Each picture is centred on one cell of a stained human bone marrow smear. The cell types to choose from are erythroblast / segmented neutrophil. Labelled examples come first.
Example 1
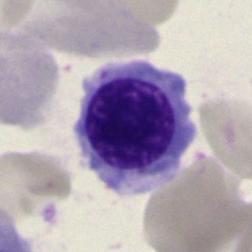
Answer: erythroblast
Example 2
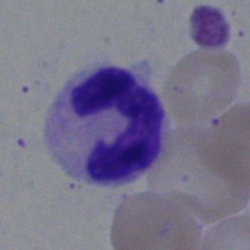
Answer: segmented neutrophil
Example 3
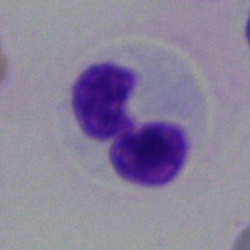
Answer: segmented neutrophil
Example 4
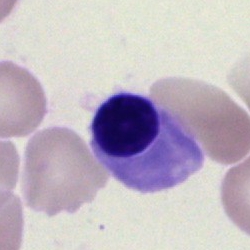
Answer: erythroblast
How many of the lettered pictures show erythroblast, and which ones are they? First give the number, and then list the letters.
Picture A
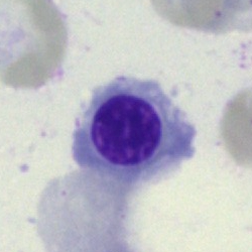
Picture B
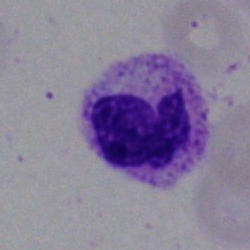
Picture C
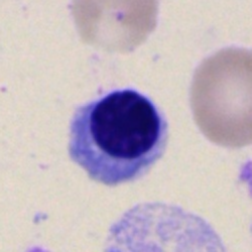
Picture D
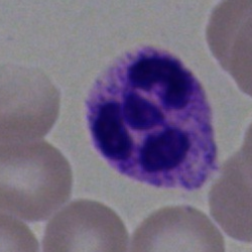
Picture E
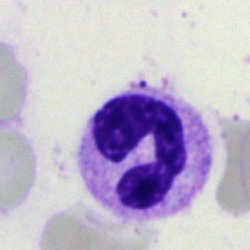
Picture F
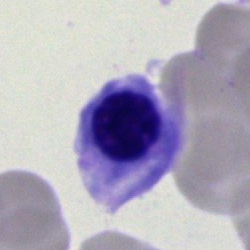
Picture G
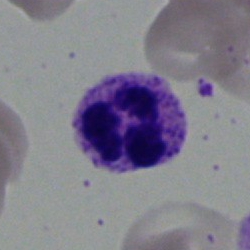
3: A, C, F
